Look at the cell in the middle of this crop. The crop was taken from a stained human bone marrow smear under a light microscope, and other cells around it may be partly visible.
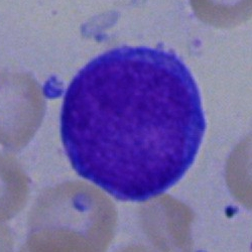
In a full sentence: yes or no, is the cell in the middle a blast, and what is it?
Yes, the cell positioned in the middle is a blast.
